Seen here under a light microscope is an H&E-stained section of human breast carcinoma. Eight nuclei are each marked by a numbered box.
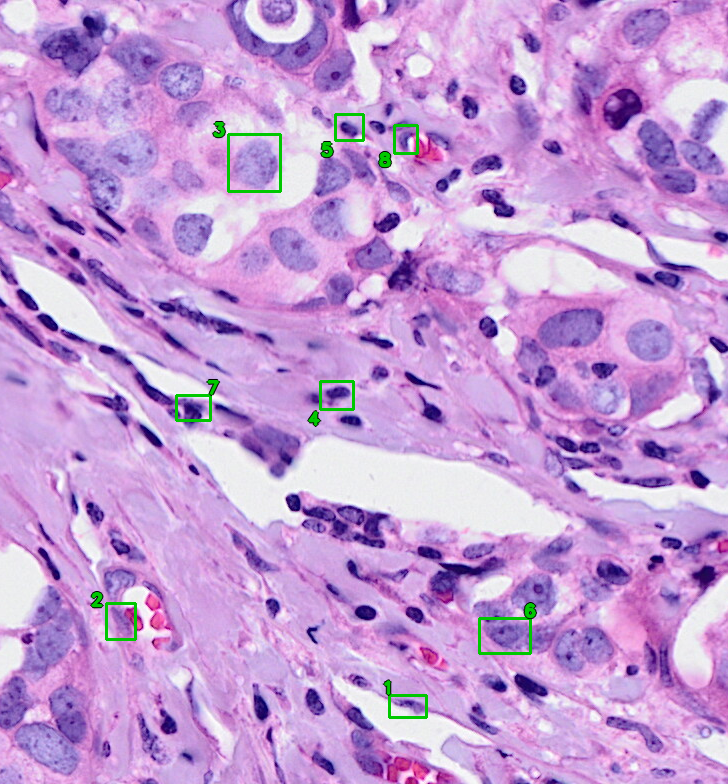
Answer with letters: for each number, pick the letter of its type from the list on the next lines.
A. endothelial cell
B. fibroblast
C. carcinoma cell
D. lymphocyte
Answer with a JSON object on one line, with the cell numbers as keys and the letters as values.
{"1": "B", "2": "A", "3": "C", "4": "D", "5": "D", "6": "C", "7": "D", "8": "A"}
